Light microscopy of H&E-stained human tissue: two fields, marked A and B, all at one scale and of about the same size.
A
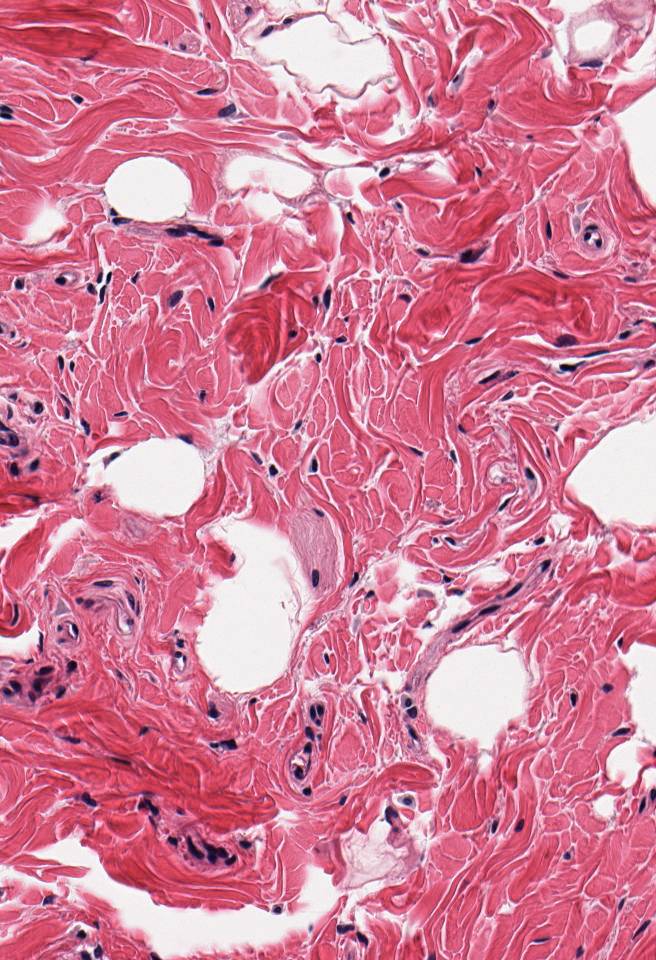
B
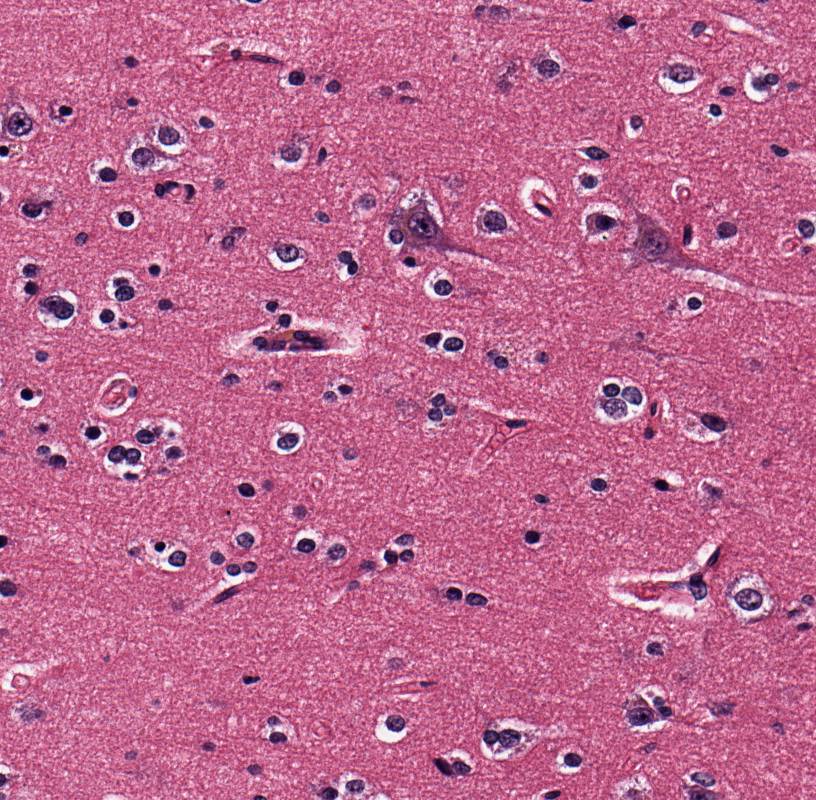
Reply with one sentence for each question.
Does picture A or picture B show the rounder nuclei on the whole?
The nuclei are rounder in picture B.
